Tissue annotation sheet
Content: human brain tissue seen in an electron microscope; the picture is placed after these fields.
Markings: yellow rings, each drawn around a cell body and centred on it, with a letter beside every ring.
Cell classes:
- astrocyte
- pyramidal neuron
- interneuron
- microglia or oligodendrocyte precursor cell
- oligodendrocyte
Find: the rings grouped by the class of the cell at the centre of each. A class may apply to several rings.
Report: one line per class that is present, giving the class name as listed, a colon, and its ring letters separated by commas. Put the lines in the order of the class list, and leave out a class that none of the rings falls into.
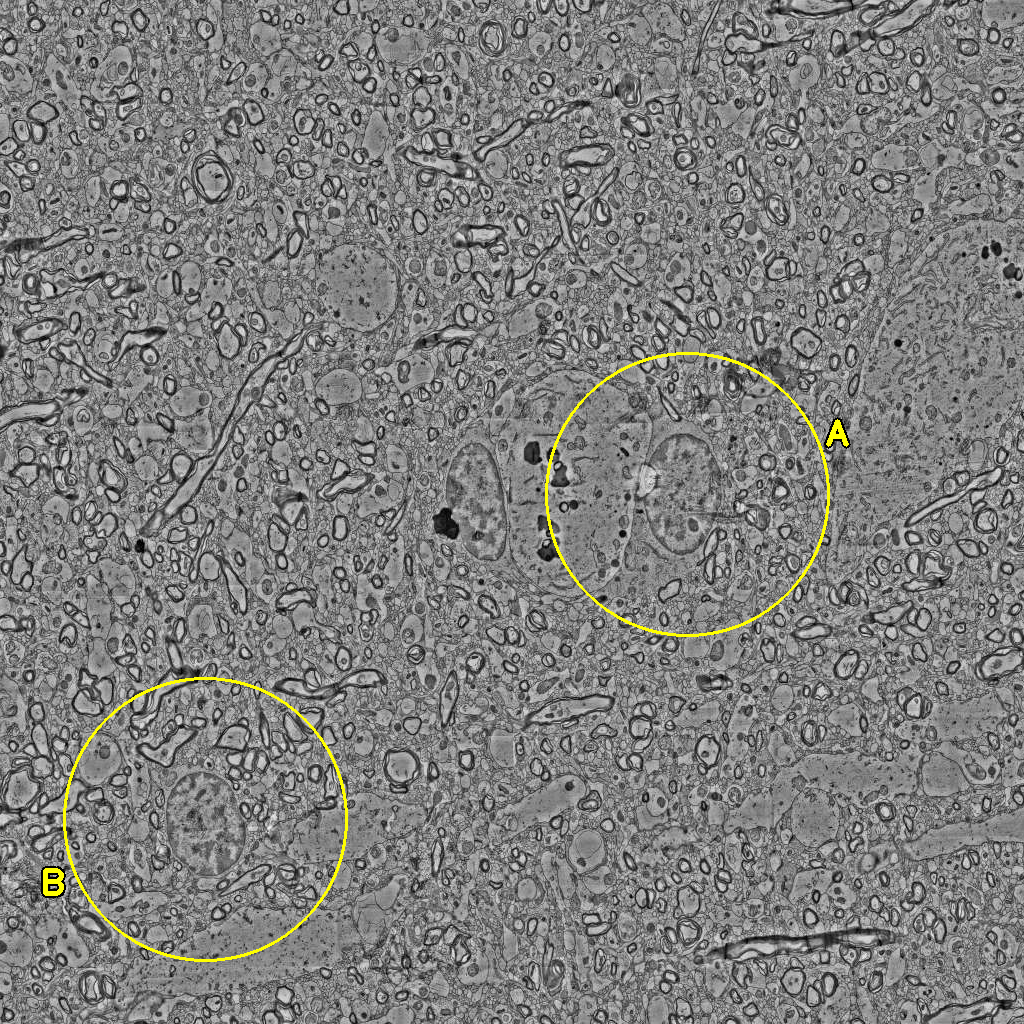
oligodendrocyte: A, B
